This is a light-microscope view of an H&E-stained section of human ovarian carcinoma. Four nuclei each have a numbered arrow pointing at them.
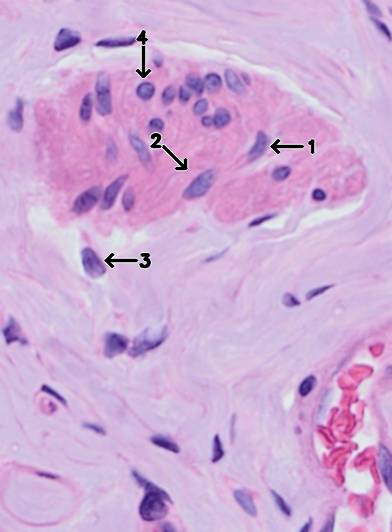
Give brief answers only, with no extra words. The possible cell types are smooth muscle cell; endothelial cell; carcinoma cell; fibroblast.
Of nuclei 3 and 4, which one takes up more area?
3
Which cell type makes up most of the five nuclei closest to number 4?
smooth muscle cell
